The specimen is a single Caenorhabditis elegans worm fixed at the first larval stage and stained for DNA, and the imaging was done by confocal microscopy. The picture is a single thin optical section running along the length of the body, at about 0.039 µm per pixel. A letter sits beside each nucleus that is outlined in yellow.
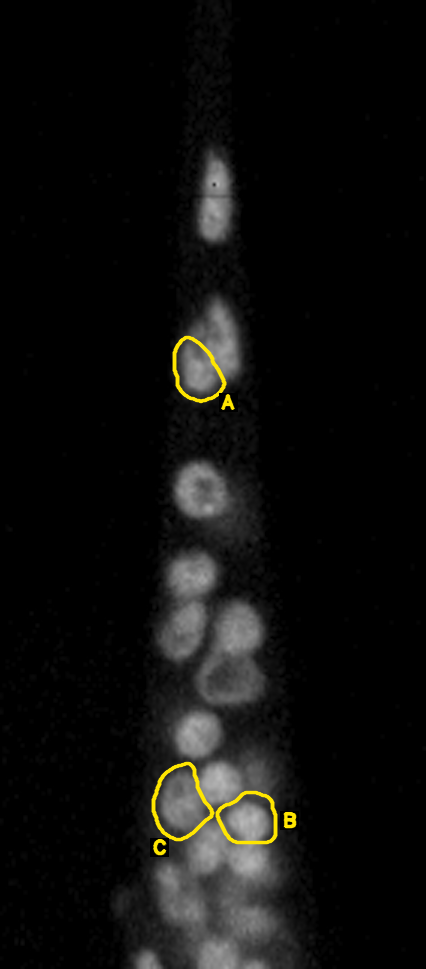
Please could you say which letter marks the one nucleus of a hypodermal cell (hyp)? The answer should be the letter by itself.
A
